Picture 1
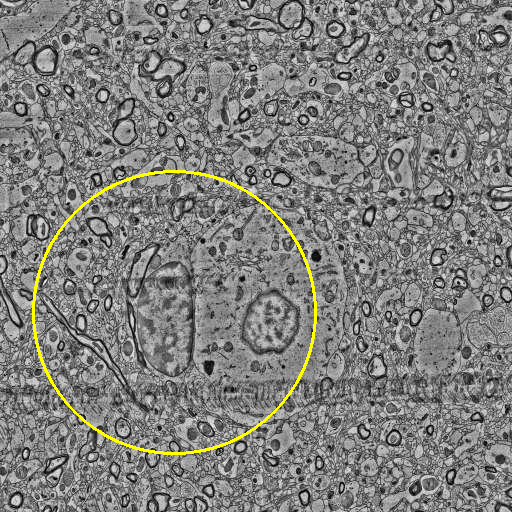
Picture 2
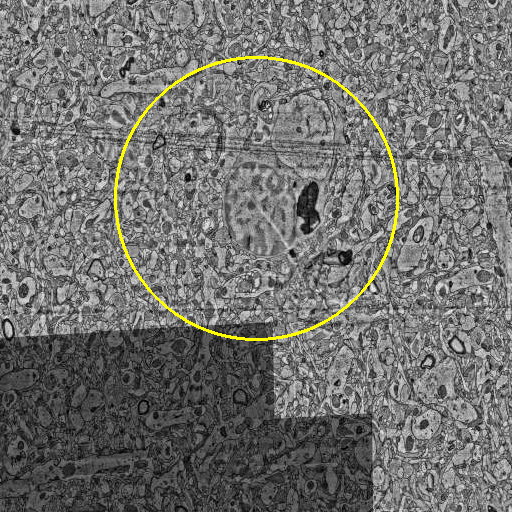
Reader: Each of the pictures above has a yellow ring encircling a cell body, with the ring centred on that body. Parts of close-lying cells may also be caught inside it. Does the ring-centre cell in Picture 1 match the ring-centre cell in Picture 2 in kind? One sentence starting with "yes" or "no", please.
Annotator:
Yes, Picture 1 and Picture 2 show ring-centre cells of a single kind.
